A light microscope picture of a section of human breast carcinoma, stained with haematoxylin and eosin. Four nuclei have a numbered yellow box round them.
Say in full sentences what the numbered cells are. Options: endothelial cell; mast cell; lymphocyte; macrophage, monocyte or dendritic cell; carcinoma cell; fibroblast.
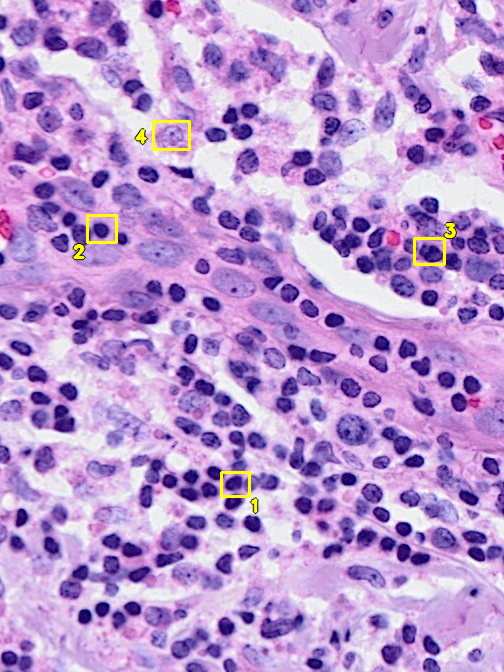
Cell 1 is a lymphocyte, cell 2 is a lymphocyte, cell 3 is a lymphocyte and cell 4 is a macrophage, monocyte or dendritic cell.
